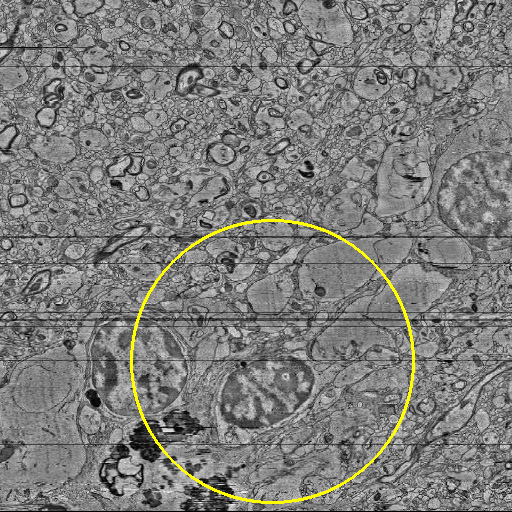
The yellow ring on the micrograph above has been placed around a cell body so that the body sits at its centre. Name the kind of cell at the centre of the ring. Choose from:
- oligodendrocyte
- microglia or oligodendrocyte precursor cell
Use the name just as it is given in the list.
microglia or oligodendrocyte precursor cell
